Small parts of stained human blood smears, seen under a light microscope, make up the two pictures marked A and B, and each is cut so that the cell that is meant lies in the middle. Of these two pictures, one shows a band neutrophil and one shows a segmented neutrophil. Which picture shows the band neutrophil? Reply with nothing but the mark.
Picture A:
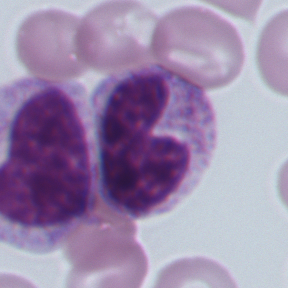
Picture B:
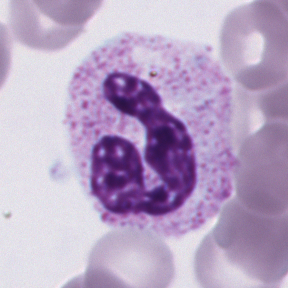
A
